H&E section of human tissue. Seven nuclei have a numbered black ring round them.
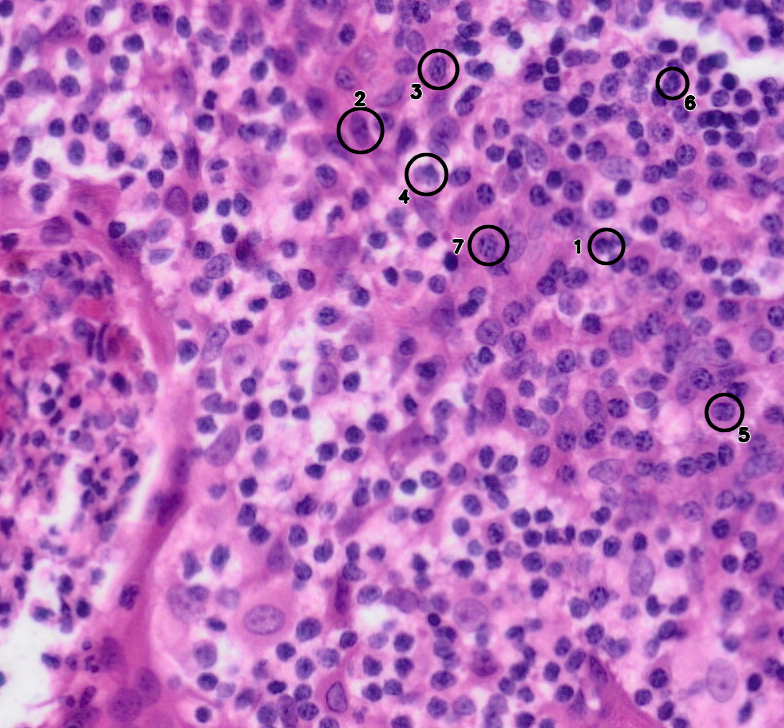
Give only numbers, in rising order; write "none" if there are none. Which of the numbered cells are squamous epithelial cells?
2, 4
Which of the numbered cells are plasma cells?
1, 3, 5, 7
